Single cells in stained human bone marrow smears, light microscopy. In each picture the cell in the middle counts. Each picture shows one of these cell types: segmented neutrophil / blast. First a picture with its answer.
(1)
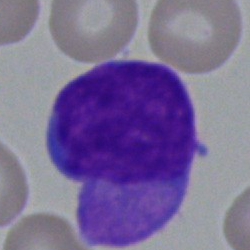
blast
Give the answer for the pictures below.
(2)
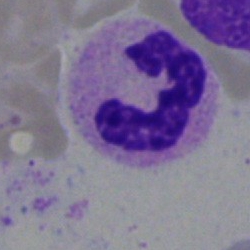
segmented neutrophil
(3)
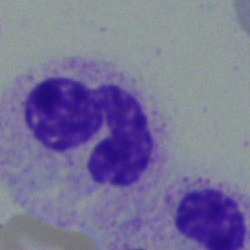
segmented neutrophil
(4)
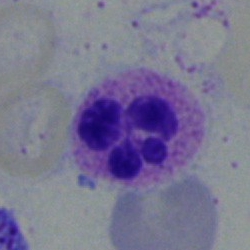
segmented neutrophil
